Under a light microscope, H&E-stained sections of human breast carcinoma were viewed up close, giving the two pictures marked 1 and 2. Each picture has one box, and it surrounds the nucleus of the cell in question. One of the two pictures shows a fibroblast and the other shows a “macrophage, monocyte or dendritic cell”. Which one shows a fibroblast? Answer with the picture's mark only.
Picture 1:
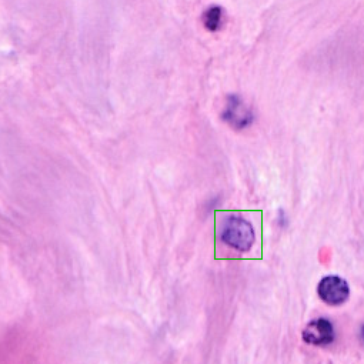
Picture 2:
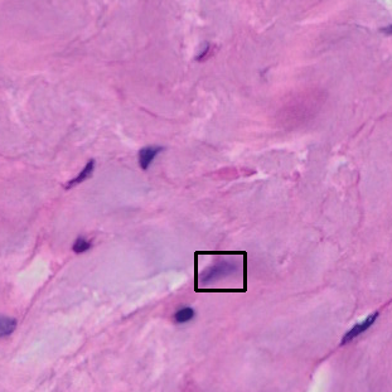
2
